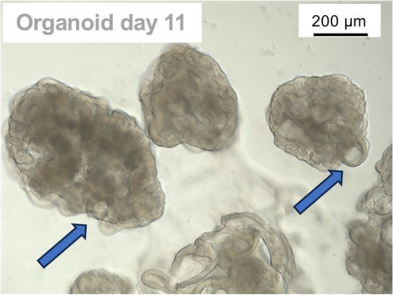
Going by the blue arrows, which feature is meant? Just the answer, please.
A: Cystic components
